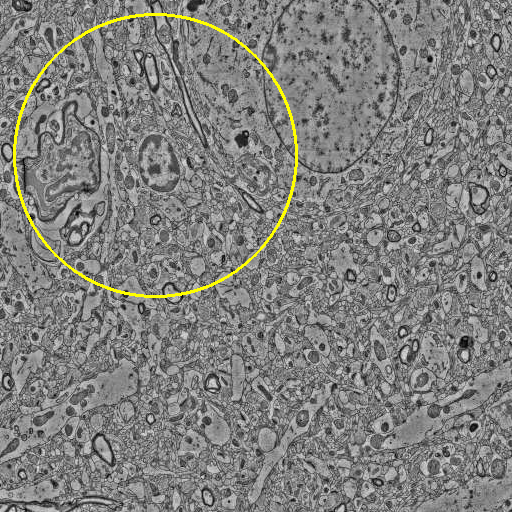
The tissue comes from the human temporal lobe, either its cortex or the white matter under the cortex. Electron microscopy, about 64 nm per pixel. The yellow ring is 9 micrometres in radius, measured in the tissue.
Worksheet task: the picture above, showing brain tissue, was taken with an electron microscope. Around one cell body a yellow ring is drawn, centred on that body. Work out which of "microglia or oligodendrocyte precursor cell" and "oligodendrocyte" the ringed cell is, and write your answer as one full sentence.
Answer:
It is a microglial cell or oligodendrocyte precursor cell whose cell body lies at the centre of the yellow ring.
